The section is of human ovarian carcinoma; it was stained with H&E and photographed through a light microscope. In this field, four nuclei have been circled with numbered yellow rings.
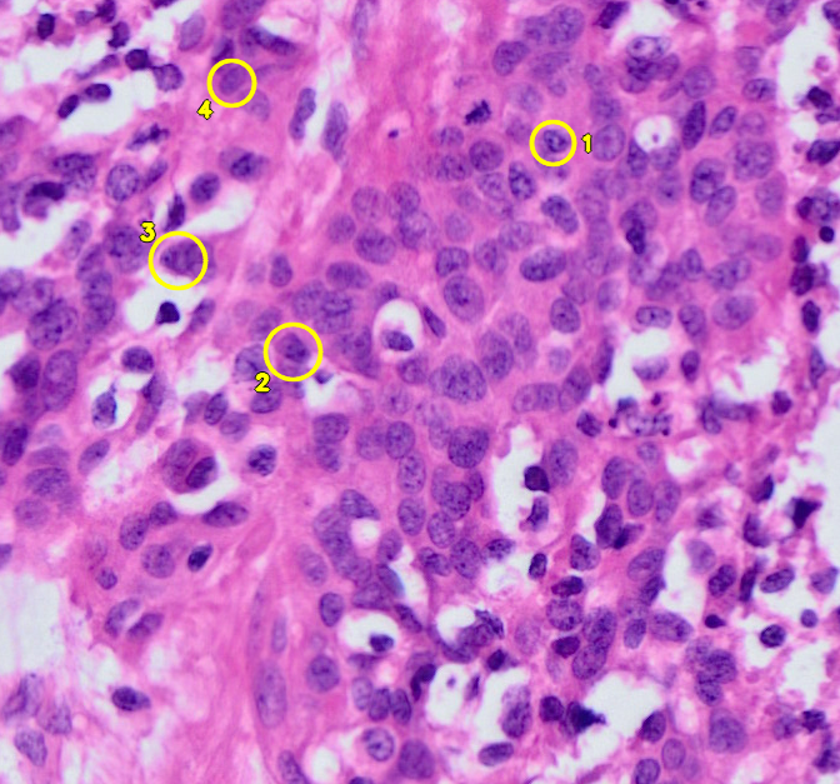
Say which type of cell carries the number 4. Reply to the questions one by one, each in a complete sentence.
Corresponding to a carcinoma cell is the cell labelled 4.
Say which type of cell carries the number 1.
The cell indicated by marker 1 is a macrophage or monocyte in this section.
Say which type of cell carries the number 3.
Denoted by the label 3 in the section is a carcinoma cell.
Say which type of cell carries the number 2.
Identified as a carcinoma cell is the cell bearing the number 2.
